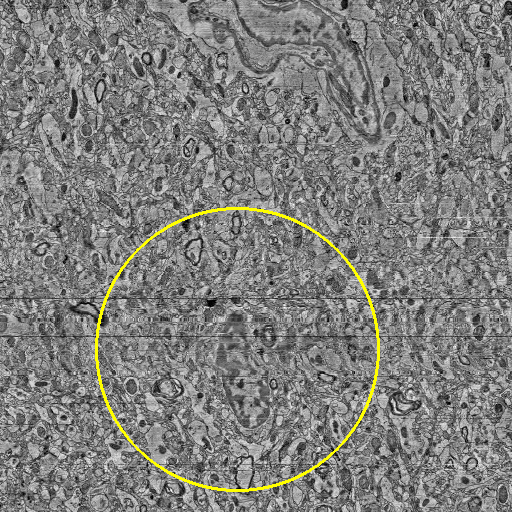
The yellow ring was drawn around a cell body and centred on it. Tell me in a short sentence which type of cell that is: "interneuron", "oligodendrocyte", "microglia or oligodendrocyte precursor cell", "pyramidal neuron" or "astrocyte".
The cell at the ring's centre is a microglial cell or oligodendrocyte precursor cell.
